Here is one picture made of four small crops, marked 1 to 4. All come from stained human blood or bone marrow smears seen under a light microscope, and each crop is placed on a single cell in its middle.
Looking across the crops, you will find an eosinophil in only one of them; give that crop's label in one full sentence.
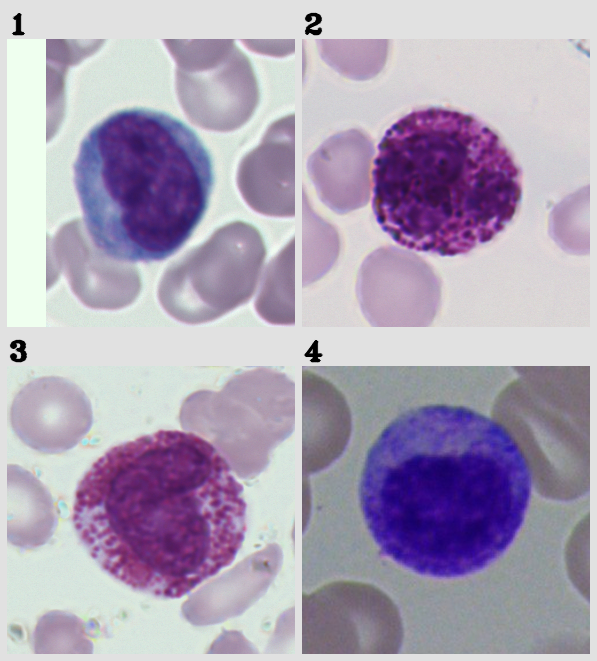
Of the cells presented, the one in crop 3 is an eosinophil.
